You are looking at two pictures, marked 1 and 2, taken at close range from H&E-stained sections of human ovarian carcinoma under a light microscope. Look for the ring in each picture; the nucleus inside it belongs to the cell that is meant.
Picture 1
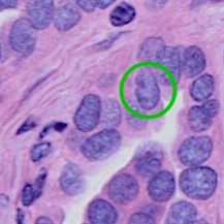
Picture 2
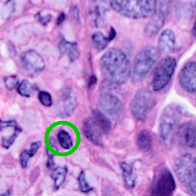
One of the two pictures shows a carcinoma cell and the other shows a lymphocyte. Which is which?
1: carcinoma cell
2: lymphocyte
